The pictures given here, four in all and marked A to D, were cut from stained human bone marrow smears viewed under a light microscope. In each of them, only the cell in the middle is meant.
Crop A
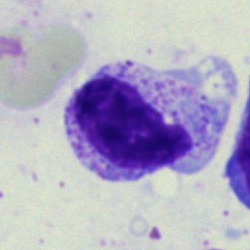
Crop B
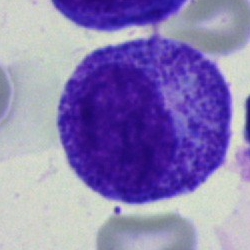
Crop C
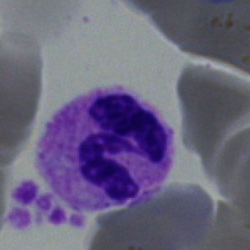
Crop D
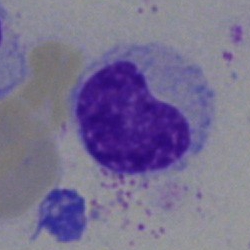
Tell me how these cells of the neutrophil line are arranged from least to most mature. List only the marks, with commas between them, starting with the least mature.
B, A, D, C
